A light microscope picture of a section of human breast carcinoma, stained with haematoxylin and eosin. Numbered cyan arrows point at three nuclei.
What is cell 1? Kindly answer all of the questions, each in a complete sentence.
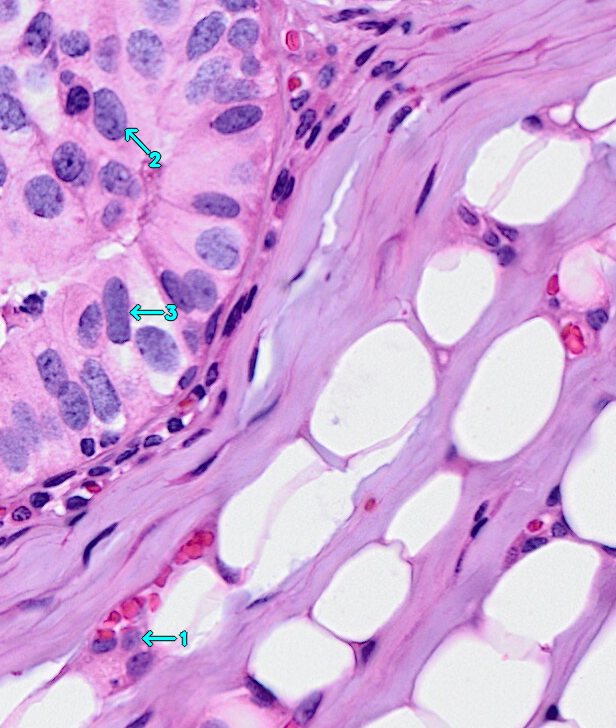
Cell number 1 in this section is an endothelial cell.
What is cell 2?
Corresponding to a carcinoma cell is the cell labelled 2.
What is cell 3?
Recognised here as a carcinoma cell is the cell numbered 3.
